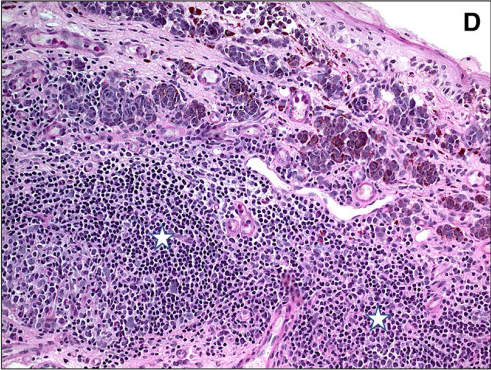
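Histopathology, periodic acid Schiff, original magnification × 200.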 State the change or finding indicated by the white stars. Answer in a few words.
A: Stromal lymphocytic infiltration.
